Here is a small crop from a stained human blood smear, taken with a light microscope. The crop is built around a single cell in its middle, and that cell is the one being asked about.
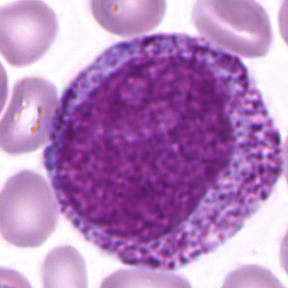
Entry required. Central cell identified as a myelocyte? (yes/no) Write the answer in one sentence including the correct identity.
No, the central cell does not count as a myelocyte; it is a promyelocyte.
